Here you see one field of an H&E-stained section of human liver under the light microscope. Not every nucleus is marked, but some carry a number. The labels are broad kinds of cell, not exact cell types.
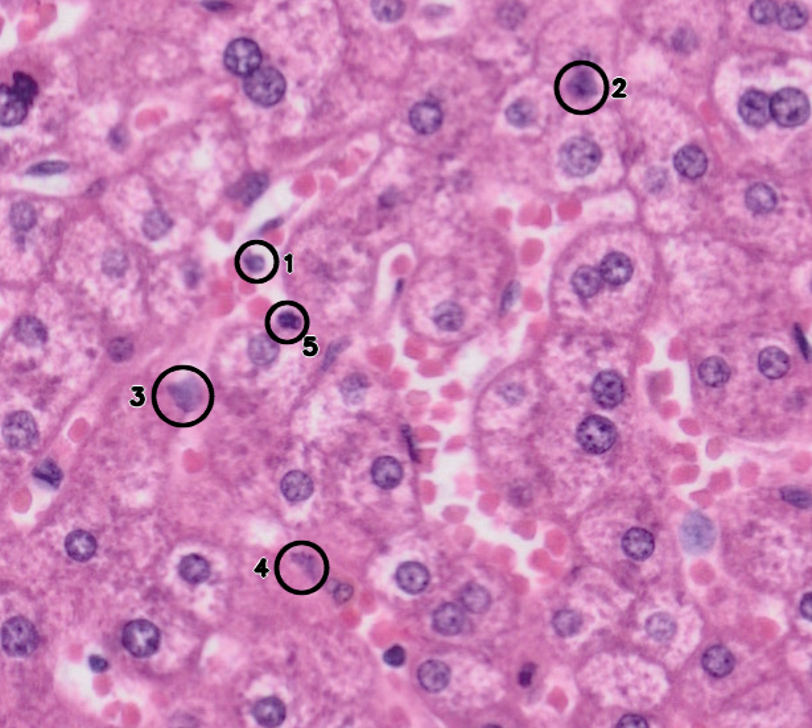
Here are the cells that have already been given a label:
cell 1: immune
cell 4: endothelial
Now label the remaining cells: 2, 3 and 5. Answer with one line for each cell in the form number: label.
2: endothelial
3: endothelial
5: immune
